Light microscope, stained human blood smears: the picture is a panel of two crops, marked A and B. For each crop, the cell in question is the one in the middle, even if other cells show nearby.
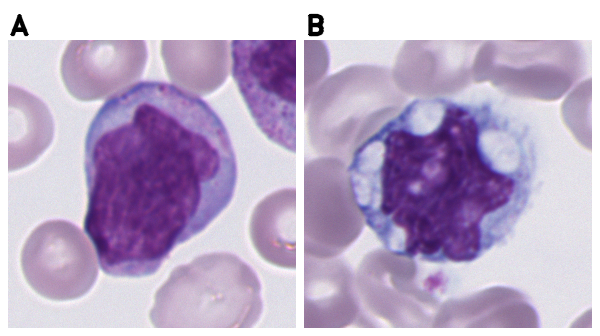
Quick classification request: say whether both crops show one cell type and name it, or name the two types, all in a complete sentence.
No, it is crop A that shows an atypical promyelocyte, and crop B shows a monocyte.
